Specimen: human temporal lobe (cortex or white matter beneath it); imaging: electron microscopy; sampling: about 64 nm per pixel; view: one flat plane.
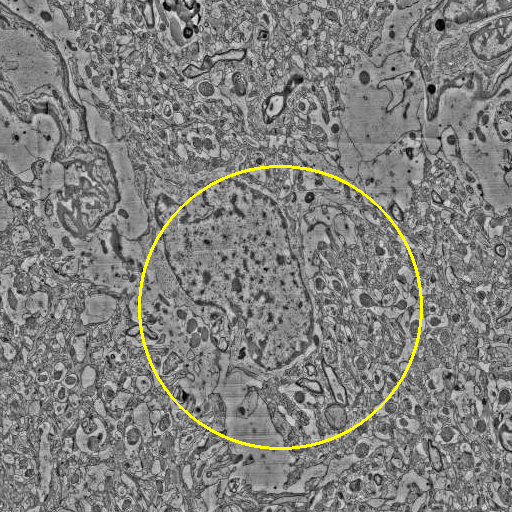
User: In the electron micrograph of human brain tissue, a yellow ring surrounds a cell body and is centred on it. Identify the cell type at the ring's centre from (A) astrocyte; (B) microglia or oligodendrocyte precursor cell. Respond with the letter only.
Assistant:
B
